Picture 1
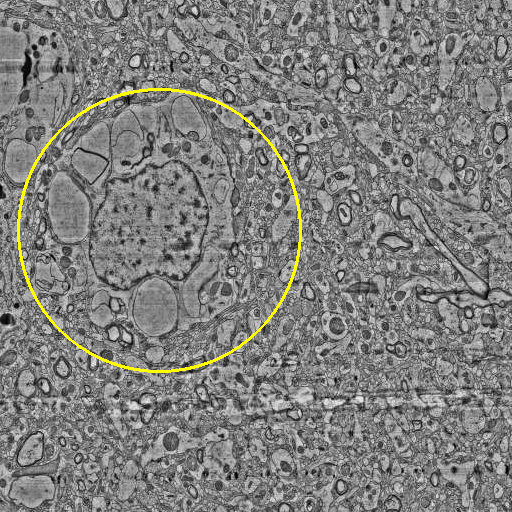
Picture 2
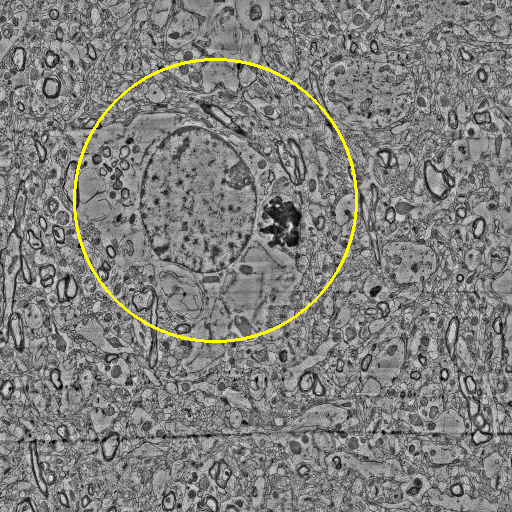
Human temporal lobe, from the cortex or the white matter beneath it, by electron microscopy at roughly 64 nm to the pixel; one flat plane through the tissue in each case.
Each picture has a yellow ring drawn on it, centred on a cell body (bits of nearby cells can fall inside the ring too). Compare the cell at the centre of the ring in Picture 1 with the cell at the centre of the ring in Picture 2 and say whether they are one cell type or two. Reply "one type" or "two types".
one type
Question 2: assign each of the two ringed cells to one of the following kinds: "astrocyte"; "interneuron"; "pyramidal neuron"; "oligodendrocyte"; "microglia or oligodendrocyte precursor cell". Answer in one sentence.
Each of the two pictures has an astrocyte at the ring centre.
